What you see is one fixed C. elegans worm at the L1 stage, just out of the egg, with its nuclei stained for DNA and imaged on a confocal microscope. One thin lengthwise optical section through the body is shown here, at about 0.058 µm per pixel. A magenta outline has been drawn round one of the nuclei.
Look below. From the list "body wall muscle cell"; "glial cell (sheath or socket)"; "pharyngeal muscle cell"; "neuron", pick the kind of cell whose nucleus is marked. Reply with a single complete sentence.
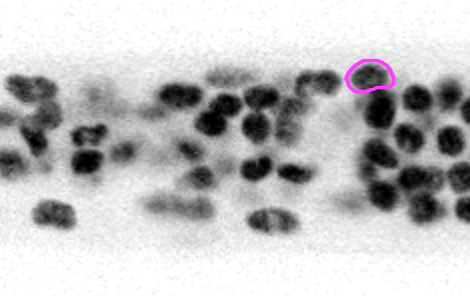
The marked nucleus belongs to a neuron.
